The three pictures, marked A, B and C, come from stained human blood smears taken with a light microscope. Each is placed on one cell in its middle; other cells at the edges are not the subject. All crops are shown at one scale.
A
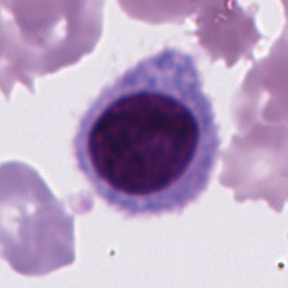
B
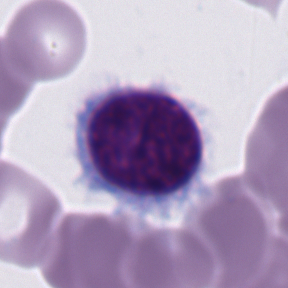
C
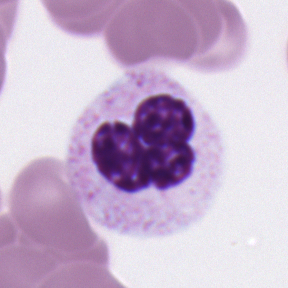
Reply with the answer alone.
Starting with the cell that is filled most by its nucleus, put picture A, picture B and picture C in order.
B, A, C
